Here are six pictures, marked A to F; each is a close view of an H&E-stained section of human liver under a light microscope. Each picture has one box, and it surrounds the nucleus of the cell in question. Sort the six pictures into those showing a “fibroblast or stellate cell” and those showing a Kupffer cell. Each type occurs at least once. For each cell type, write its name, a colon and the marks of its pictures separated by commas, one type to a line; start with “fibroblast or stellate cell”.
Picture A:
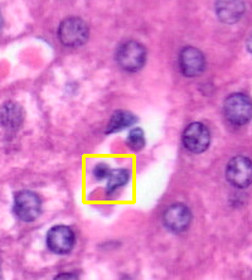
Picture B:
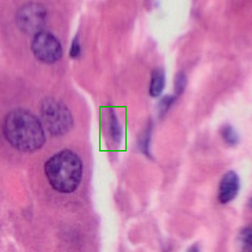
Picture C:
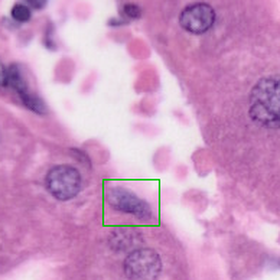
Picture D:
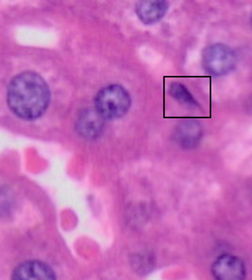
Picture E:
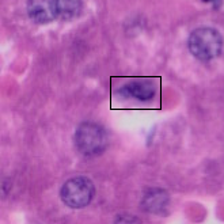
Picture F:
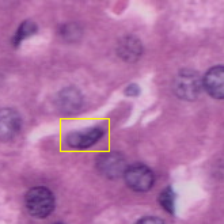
fibroblast or stellate cell: B, C, D
Kupffer cell: A, E, F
